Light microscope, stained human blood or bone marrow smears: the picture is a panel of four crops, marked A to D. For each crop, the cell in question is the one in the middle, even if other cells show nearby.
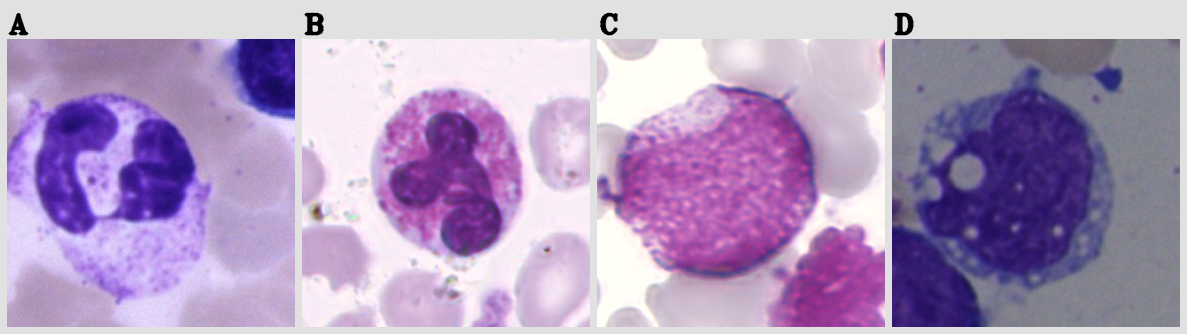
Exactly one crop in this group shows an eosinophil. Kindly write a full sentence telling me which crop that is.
It is in crop B, among all the crops, that an eosinophil is present.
